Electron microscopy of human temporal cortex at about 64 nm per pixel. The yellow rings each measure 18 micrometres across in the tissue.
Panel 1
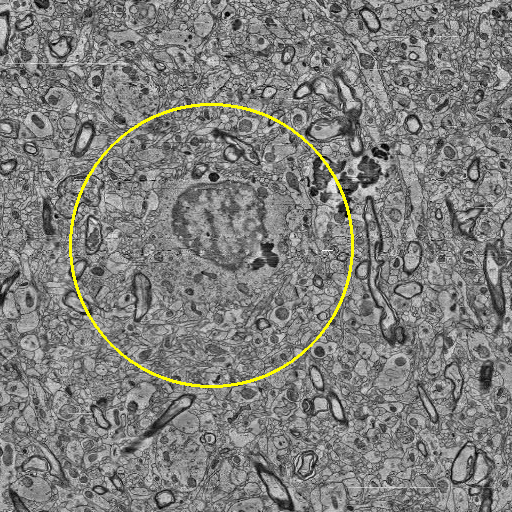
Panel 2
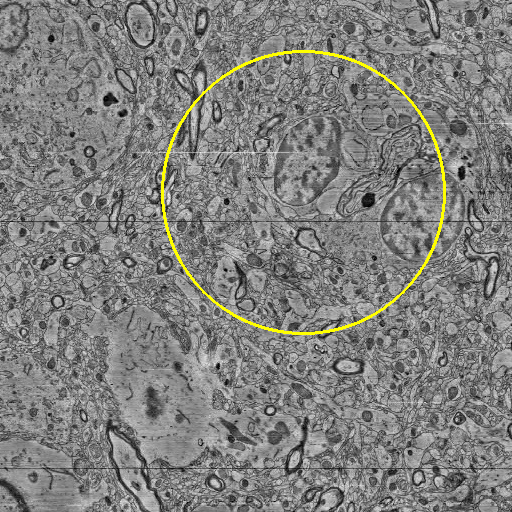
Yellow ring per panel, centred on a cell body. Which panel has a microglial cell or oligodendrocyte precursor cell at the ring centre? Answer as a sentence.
Panel 2 shows it at the ring centre.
